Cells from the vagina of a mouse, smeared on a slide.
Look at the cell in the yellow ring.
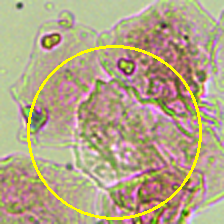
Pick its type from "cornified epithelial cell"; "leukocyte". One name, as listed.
cornified epithelial cell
